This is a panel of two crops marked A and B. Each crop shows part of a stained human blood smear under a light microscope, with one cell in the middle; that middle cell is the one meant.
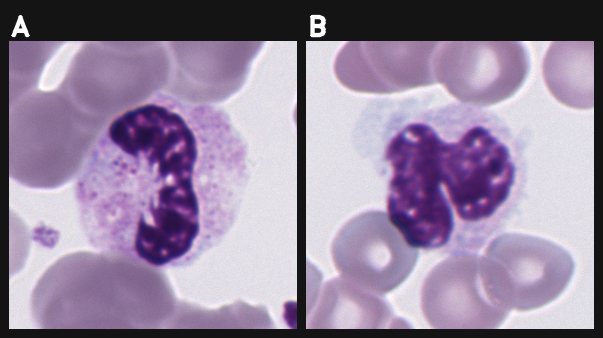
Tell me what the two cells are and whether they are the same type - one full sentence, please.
Yes, as shown in both crops, the central cells are segmented neutrophils.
